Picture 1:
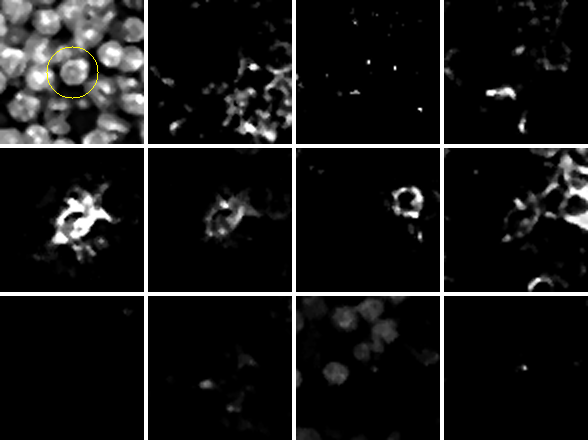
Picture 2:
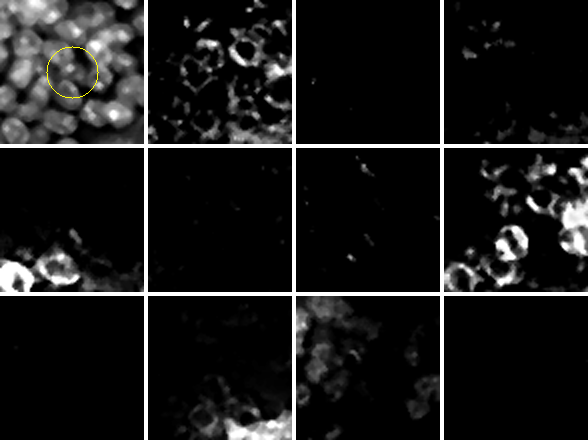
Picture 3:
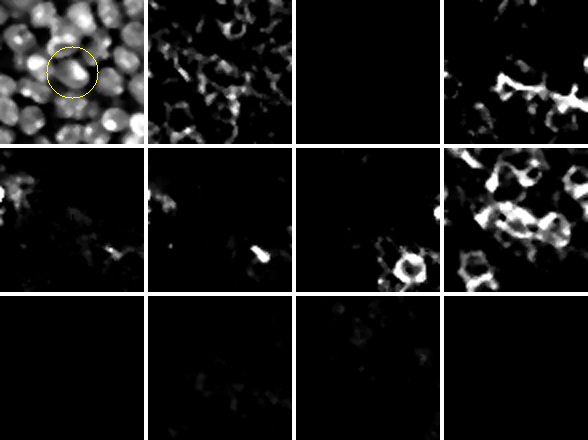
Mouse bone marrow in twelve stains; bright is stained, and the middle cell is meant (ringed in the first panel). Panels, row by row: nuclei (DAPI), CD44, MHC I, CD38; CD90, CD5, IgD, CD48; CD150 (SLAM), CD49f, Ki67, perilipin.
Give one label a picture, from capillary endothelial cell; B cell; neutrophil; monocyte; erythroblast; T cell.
(1) T cell
(2) neutrophil
(3) capillary endothelial cell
